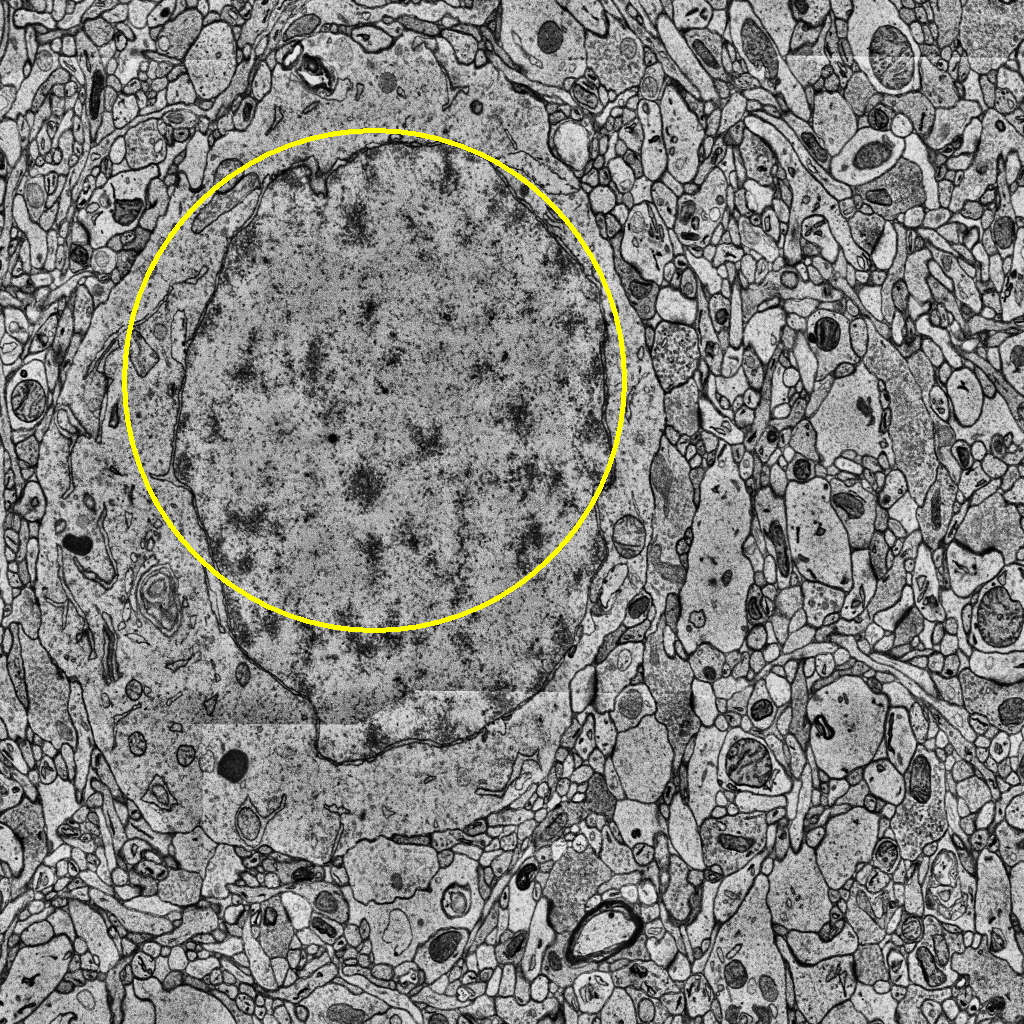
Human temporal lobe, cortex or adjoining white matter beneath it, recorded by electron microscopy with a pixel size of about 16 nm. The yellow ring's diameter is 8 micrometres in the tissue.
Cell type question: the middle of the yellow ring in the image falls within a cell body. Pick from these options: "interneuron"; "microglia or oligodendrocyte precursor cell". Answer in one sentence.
The cell body at the center of the ring belongs to an interneuron.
